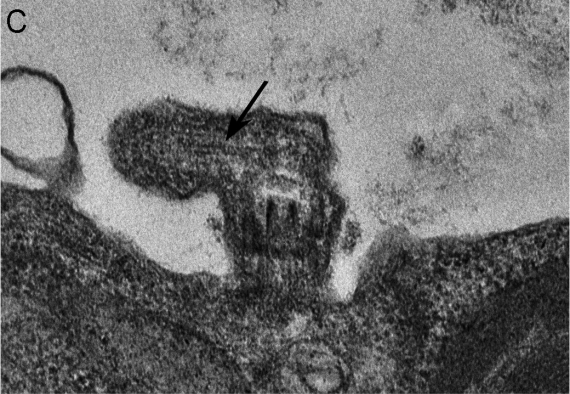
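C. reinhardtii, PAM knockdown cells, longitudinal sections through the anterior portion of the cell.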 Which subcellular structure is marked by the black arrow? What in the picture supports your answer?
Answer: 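Microtubule fragments. The arrow points into a bent, swollen bulb atop a short projection. Short tubular profiles in the bulb run in directions unlike the base below.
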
